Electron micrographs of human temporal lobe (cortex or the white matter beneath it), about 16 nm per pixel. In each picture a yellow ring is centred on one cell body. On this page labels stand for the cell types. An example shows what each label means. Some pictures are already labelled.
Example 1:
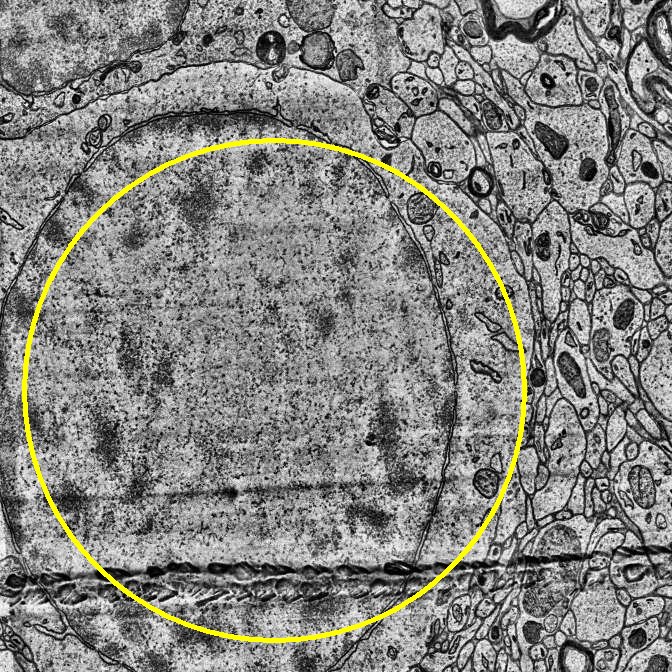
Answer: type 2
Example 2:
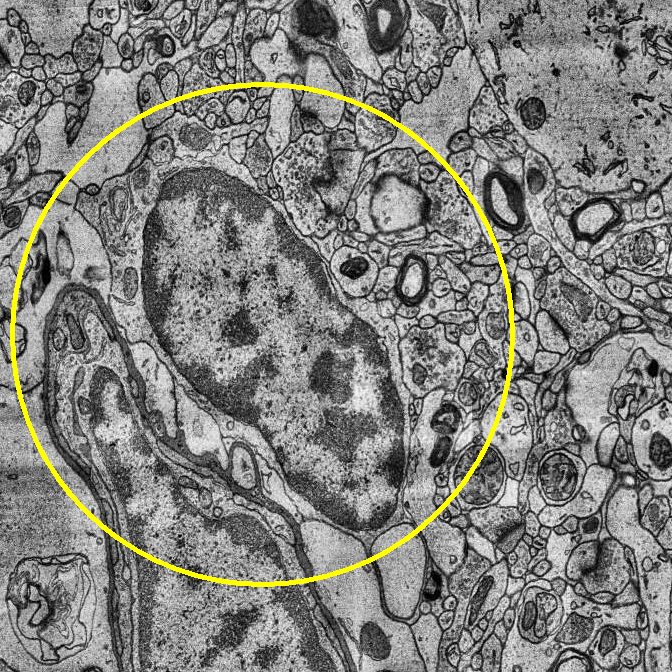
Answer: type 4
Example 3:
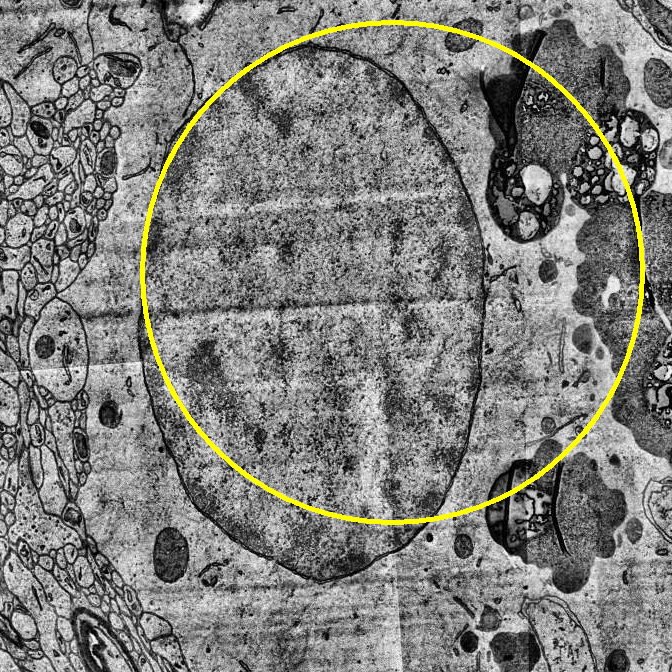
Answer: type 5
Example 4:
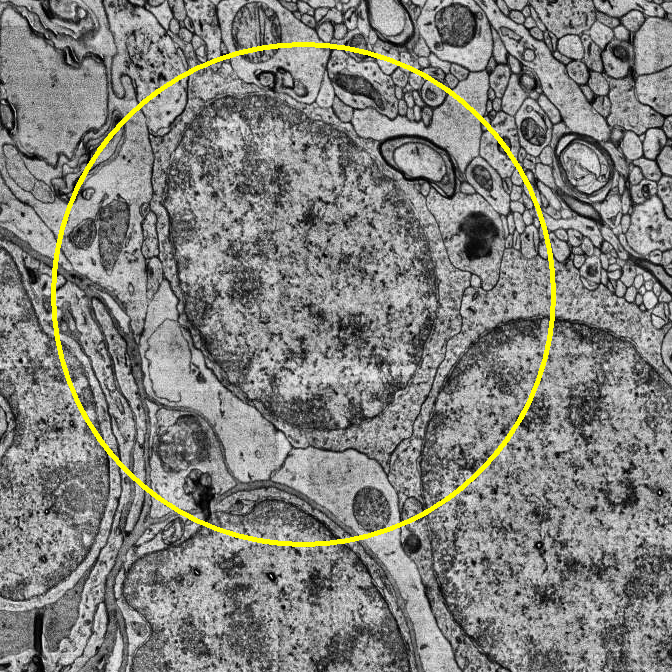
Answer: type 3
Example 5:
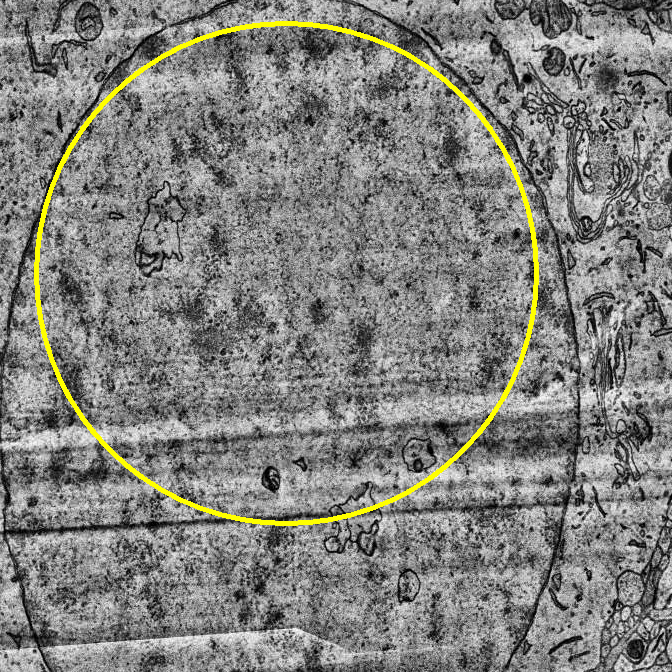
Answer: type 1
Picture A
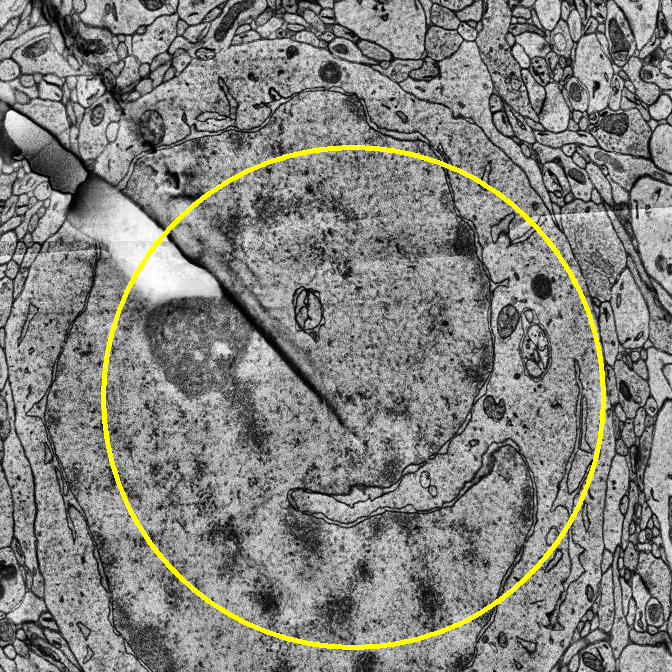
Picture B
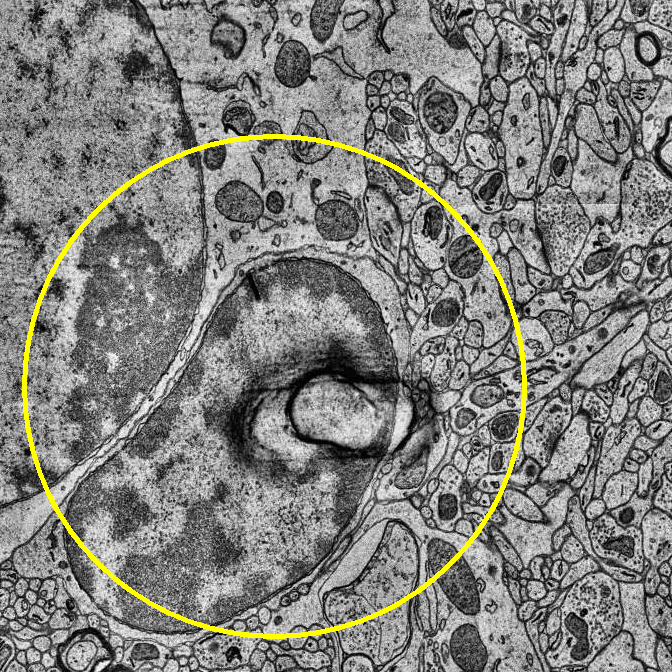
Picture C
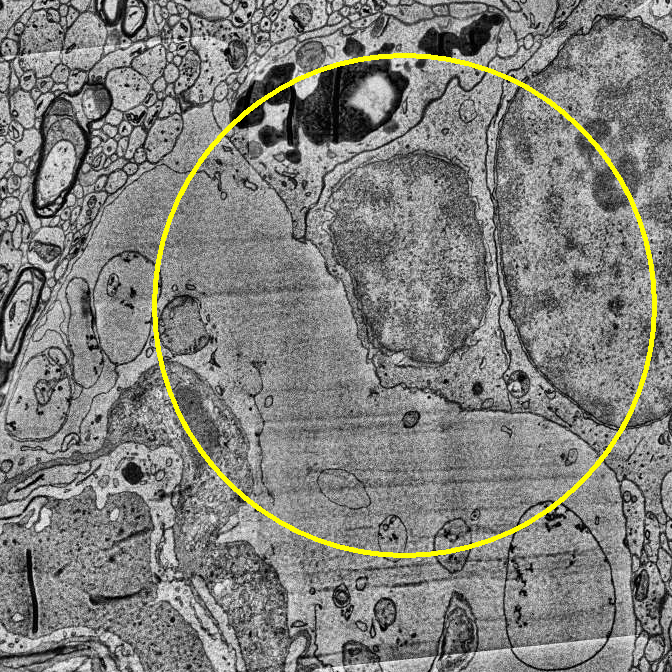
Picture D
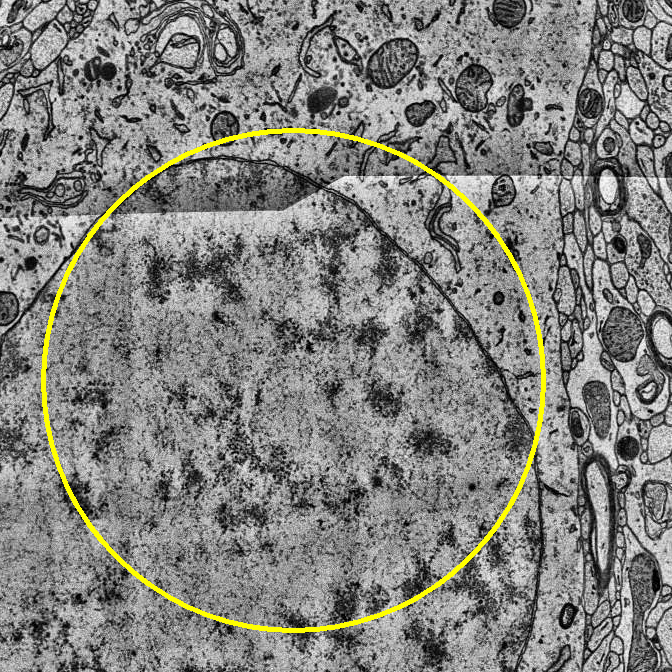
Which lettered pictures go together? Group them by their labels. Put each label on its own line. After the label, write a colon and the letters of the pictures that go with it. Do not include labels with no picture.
type 2: A
type 4: B
type 3: C
type 1: D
